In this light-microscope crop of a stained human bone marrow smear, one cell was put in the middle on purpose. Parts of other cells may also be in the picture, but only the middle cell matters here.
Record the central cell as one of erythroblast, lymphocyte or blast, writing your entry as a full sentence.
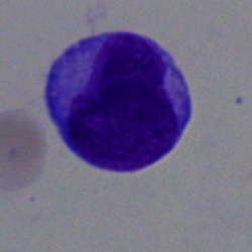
The cell under consideration, at the middle of the crop, is a blast.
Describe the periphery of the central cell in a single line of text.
Smooth all around, the outline has no projections to report.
